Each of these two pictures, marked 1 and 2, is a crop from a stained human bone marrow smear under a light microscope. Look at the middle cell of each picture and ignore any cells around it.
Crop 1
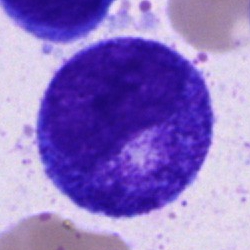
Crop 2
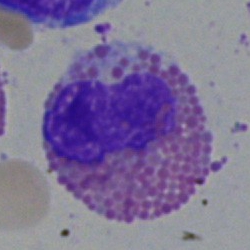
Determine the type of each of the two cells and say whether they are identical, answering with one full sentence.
No, an eosinophil is in crop 2, and a promyelocyte is in crop 1.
